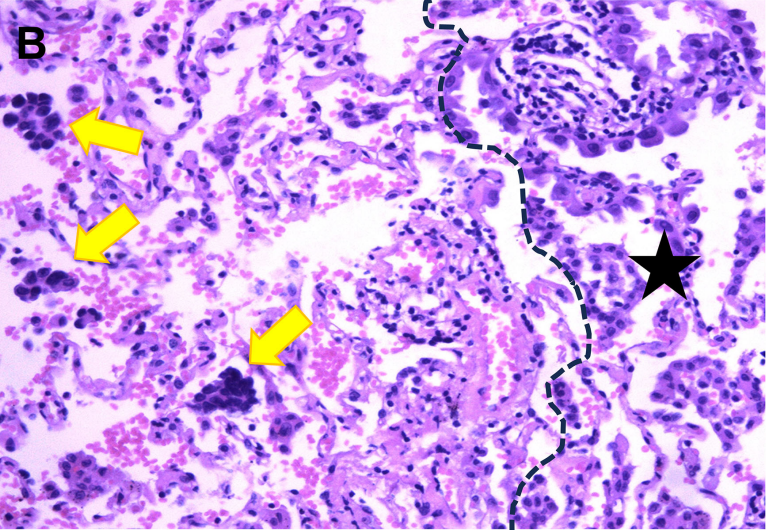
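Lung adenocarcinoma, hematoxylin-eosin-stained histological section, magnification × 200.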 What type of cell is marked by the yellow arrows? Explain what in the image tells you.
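Compact clusters of dark purple cells lie within open air spaces. The clusters lie left of the dashed line, away from the dense tissue on the right. The answer: solid nests of tumor cell.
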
